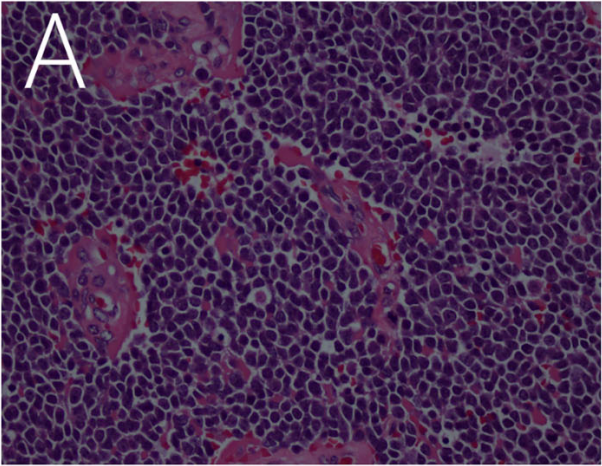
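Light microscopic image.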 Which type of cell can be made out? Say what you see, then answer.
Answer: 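Sheets of densely packed, uniform small cells. The nuclei are round to oval and fill most of each cell. Little visible cytoplasm and no differentiation into glands or other structures.
Answer: small, round, oval, undifferentiated cells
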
